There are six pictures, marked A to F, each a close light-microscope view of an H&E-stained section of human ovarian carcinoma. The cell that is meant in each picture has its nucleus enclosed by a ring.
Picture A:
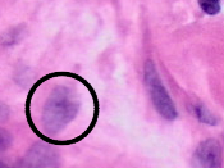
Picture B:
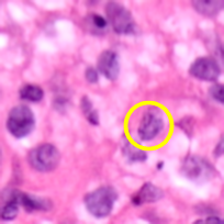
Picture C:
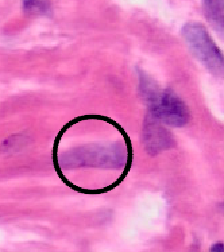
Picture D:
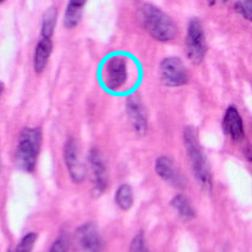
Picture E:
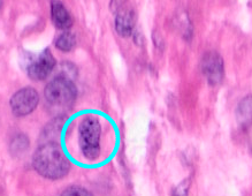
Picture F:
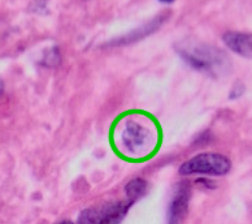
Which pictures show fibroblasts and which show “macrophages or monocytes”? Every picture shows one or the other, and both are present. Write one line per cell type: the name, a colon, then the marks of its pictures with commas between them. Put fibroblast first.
fibroblast: A, C, D
macrophage or monocyte: B, E, F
